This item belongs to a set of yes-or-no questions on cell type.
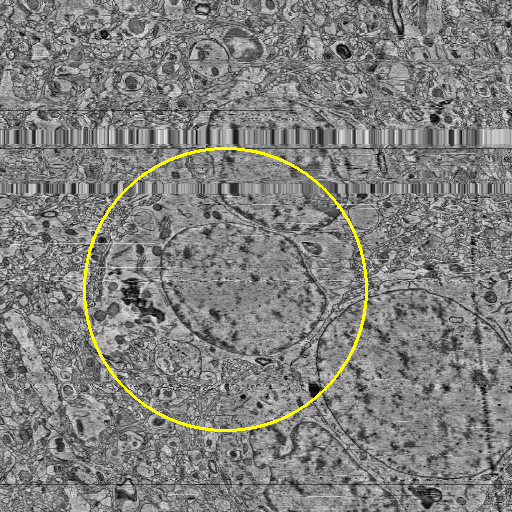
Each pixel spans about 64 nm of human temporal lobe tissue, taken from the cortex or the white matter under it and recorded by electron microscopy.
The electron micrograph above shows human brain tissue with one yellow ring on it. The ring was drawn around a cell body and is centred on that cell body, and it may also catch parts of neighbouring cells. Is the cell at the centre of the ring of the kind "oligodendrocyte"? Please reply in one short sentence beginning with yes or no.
No, that cell is of another kind.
